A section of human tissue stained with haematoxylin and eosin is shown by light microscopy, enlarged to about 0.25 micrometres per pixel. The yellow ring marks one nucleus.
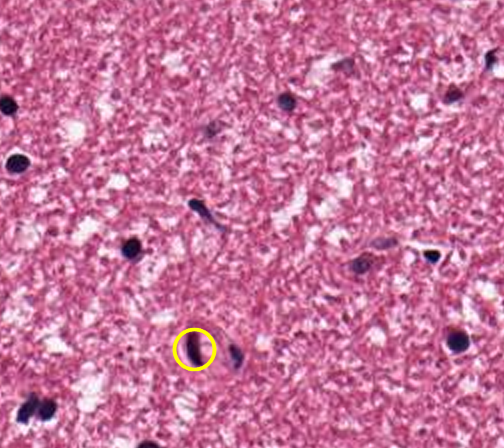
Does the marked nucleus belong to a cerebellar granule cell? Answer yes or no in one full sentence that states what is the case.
No, the marked nucleus is attributed to a supporting cell, not to a cerebellar granule cell.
